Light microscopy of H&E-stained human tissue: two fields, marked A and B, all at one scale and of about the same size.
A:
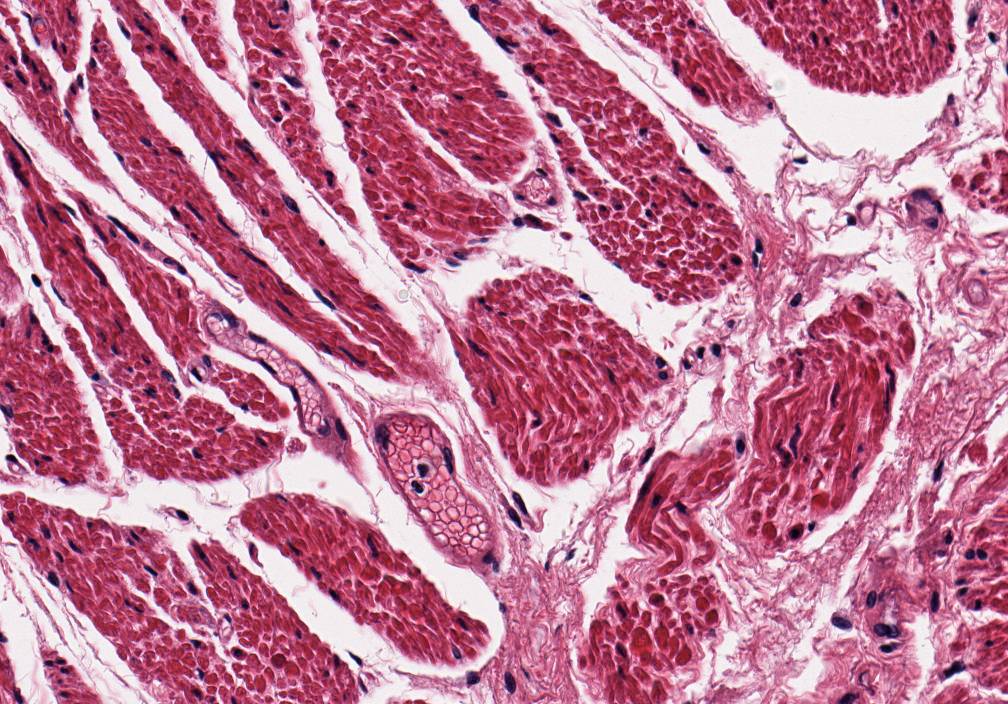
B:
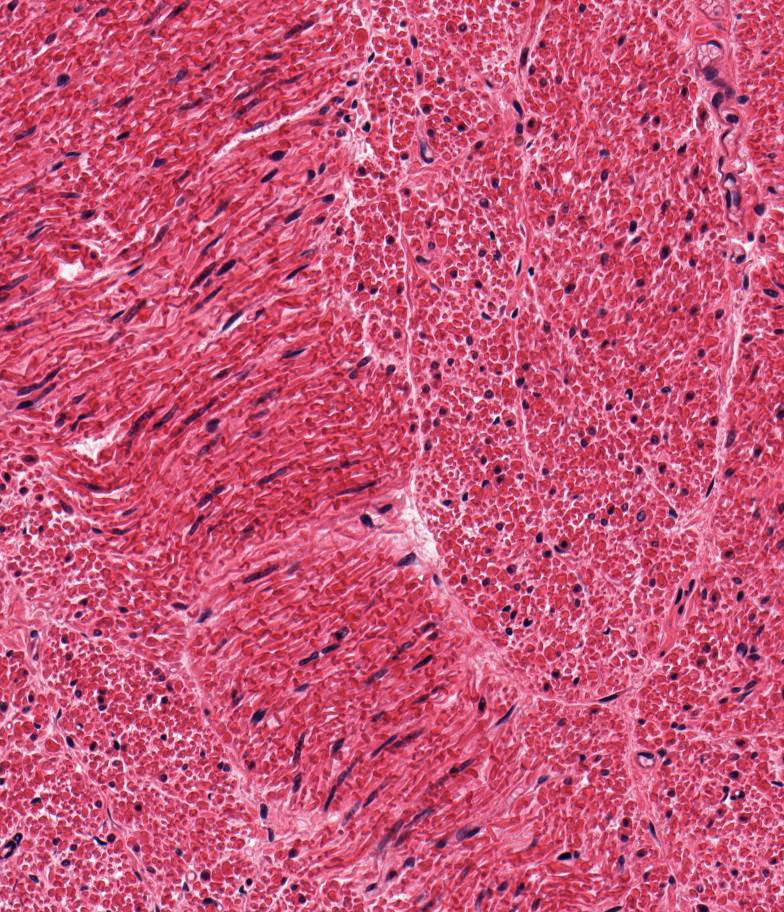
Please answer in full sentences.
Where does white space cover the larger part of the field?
More of field A is empty and white.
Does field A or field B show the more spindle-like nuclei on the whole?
The nuclei are more elongated in field A.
